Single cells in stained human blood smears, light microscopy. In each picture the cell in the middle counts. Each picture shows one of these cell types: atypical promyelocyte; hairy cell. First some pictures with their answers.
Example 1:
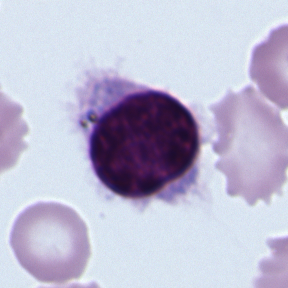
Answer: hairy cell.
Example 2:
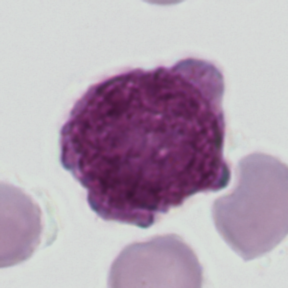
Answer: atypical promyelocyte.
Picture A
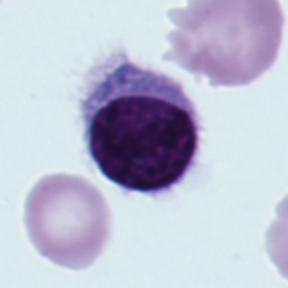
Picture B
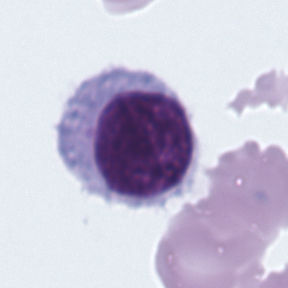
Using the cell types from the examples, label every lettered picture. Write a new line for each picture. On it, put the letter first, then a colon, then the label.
A: hairy cell.
B: hairy cell.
